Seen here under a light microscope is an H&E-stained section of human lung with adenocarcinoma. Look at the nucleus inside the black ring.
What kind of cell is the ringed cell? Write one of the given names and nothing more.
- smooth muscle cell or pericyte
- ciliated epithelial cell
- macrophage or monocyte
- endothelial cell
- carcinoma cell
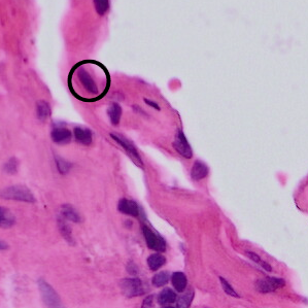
endothelial cell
